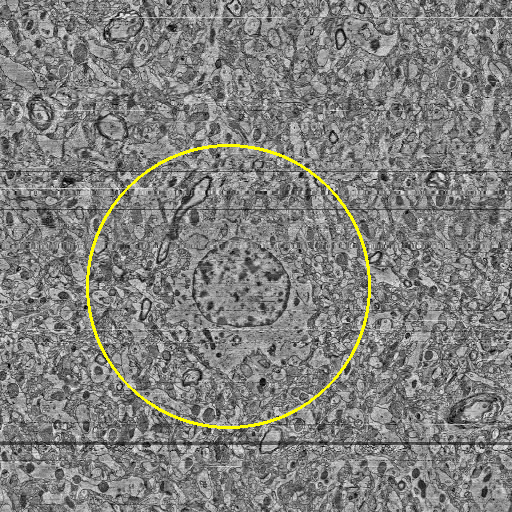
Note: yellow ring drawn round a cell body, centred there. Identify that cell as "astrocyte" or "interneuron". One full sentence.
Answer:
The cell in the middle of the ring is an astrocyte.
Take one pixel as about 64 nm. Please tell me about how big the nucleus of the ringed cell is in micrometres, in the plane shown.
Roughly 6 micrometers across, in this plane.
